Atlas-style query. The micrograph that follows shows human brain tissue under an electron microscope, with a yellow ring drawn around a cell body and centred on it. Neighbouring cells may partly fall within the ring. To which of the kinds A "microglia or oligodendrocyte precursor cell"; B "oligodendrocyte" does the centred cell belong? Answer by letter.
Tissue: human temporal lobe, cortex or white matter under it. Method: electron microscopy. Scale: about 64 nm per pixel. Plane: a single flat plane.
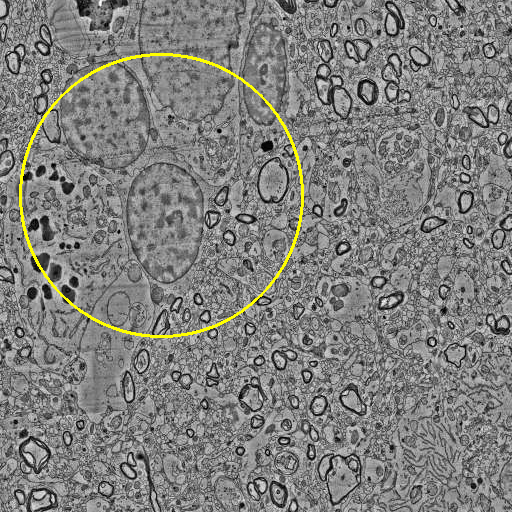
B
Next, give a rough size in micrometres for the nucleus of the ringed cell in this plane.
Approximately 8 micrometres long and 5 micrometres wide, so clearly longer than it is wide in this plane.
